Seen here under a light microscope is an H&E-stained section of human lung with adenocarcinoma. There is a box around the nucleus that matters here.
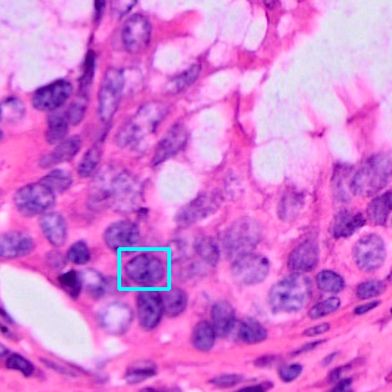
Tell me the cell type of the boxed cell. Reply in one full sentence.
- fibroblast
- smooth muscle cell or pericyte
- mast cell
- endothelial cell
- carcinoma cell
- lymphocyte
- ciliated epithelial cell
It is as a ciliated epithelial cell that the boxed cell is classified.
